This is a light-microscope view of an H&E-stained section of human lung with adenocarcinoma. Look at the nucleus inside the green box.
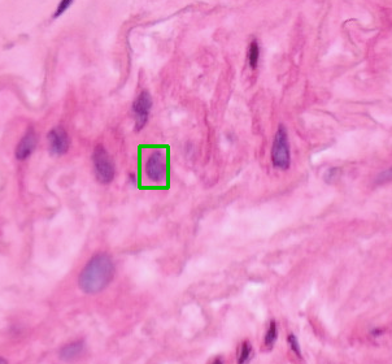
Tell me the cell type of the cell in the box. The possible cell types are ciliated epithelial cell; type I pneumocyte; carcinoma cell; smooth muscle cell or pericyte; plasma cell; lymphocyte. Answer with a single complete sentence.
The classification of the cell in the box is as a smooth muscle cell or pericyte.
